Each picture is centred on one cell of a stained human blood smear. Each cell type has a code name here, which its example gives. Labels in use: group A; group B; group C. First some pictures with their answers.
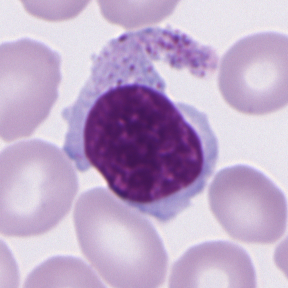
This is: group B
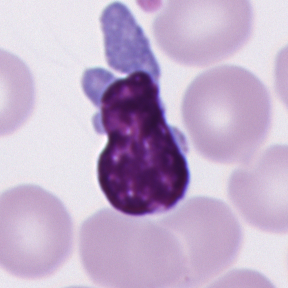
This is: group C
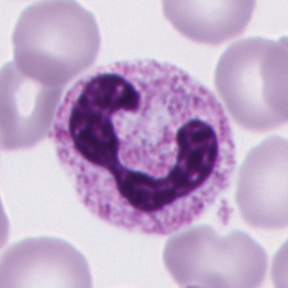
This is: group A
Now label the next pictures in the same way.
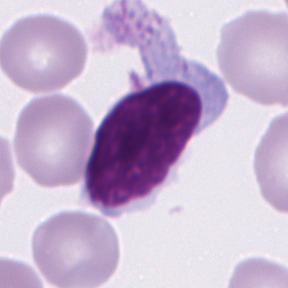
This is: group B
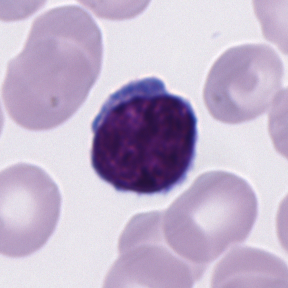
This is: group C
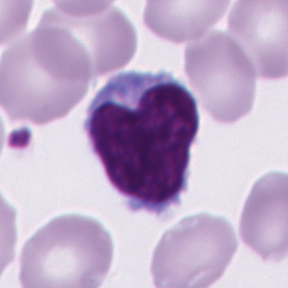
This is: group C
